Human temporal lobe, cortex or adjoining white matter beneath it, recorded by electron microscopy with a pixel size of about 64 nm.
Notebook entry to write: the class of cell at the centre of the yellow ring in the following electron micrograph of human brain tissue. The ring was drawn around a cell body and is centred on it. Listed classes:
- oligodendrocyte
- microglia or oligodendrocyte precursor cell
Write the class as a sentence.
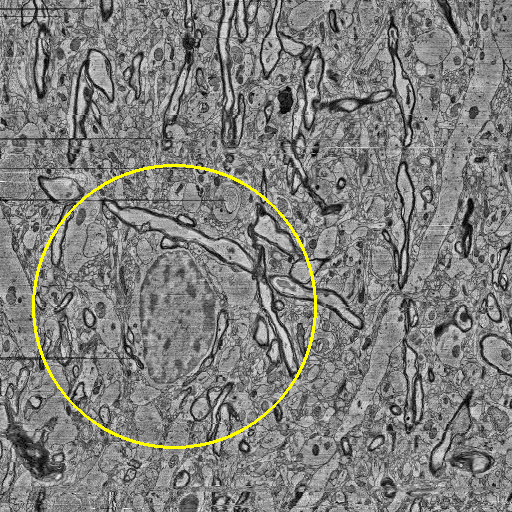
The yellow ring sits on an oligodendrocyte.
